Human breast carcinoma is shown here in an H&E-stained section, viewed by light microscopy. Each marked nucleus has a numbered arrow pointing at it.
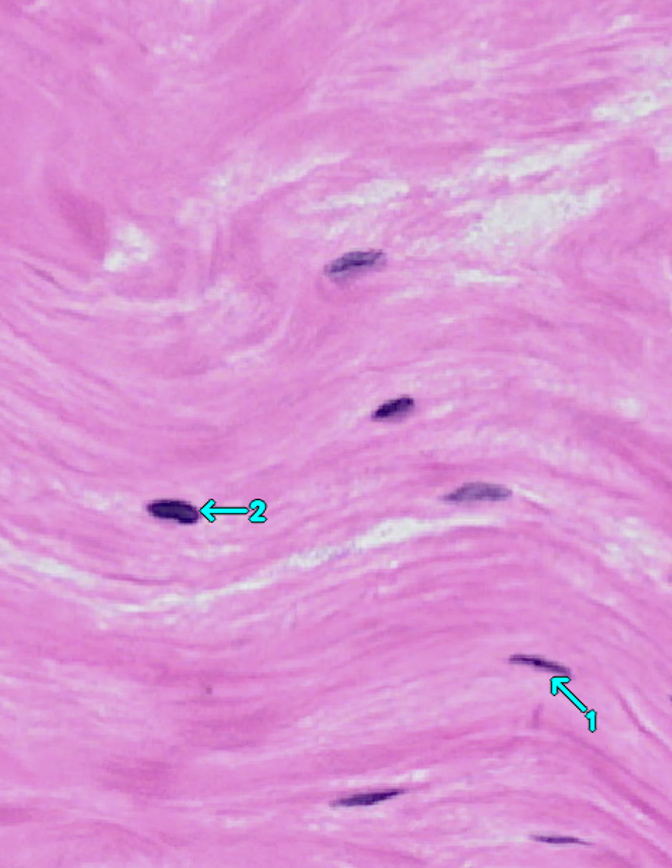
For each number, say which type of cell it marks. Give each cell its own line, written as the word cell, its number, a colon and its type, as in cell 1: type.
cell 1: fibroblast
cell 2: lymphocyte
